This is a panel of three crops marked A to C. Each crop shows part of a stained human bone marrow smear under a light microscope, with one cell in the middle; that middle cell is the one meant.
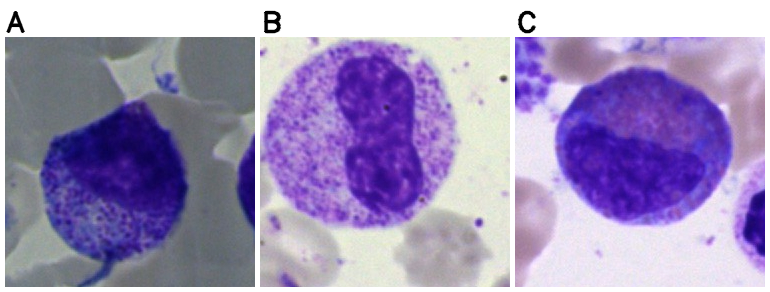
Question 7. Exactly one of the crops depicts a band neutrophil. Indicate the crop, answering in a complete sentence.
Only in crop B is a band neutrophil shown.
